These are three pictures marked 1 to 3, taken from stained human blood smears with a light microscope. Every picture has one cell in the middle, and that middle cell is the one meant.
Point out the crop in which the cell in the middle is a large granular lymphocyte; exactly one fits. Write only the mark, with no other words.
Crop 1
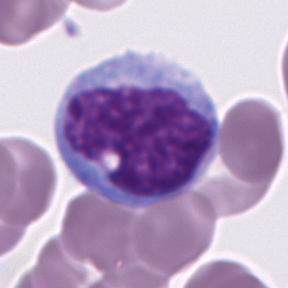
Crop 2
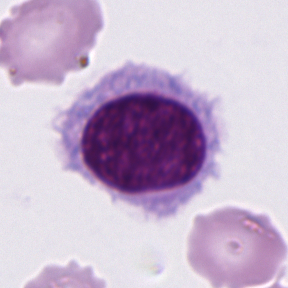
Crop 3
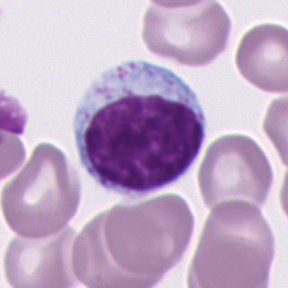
3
